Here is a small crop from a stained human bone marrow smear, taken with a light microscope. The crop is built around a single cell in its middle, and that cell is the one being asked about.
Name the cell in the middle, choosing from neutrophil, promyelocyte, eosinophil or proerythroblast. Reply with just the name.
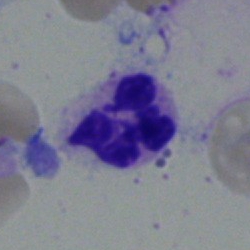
neutrophil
